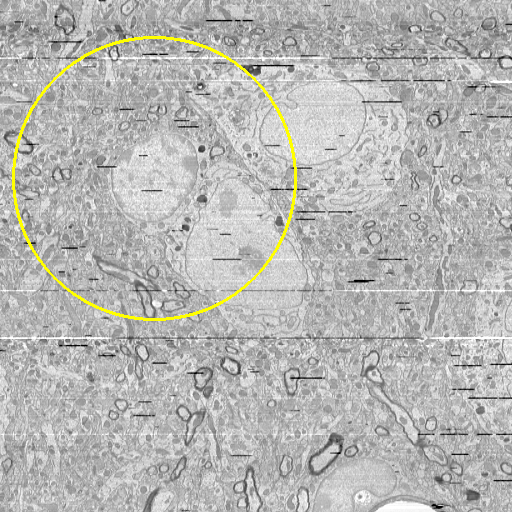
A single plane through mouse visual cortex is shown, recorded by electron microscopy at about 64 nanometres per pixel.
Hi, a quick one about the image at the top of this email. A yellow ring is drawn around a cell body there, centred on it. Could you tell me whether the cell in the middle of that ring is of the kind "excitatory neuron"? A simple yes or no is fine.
no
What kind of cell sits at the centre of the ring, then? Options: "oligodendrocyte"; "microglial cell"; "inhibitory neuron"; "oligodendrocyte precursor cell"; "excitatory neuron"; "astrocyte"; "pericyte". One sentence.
Instead, the picture shows an oligodendrocyte at the centre of the ring.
